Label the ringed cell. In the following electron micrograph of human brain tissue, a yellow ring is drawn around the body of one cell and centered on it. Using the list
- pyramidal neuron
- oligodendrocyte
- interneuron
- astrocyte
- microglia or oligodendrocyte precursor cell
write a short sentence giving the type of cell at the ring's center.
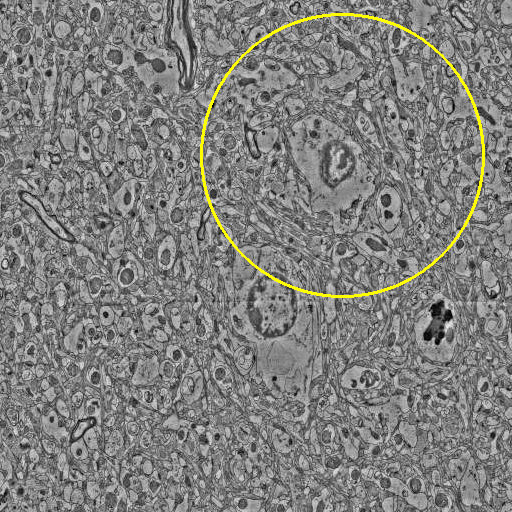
The cell body at the ring's center is that of an astrocyte.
